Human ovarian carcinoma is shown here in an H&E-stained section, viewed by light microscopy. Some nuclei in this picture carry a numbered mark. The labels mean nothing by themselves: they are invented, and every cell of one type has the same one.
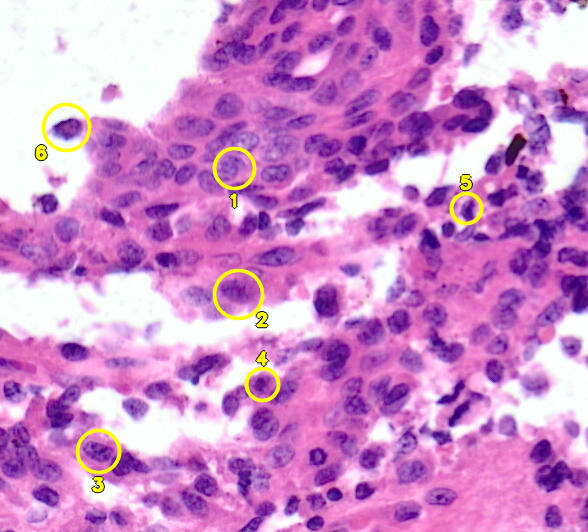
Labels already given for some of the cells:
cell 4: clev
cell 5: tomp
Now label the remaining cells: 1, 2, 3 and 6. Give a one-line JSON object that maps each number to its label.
{"1": "clev", "2": "clev", "3": "tomp", "6": "clev"}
